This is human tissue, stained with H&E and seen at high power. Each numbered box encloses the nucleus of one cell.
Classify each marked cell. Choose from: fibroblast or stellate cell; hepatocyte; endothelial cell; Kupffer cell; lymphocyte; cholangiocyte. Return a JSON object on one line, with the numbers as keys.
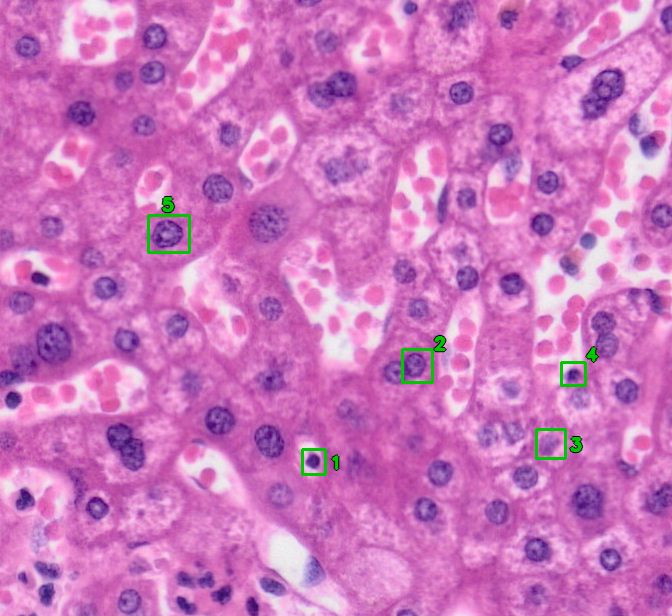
{"1": "lymphocyte", "2": "hepatocyte", "3": "hepatocyte", "4": "lymphocyte", "5": "hepatocyte"}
